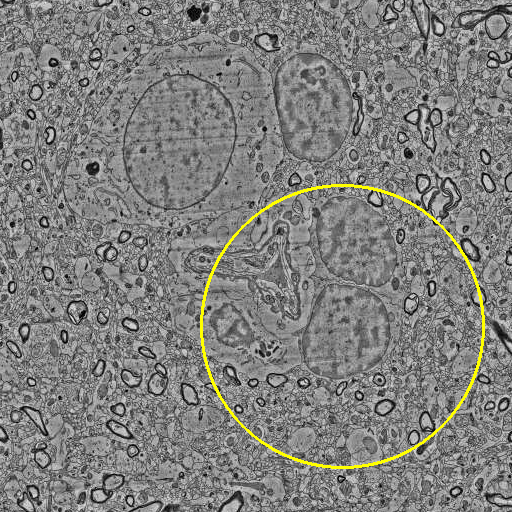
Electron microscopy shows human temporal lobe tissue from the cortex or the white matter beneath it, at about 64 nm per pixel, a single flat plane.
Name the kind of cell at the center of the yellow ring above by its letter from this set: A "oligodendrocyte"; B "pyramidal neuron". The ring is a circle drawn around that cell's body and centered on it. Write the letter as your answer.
A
